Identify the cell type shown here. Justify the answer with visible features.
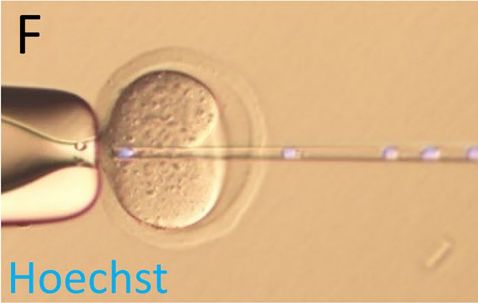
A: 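A large round cell surrounded by a clear zona. It is held by a holding pipette on the left. A thin injection needle enters from the right. So: oocytes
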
